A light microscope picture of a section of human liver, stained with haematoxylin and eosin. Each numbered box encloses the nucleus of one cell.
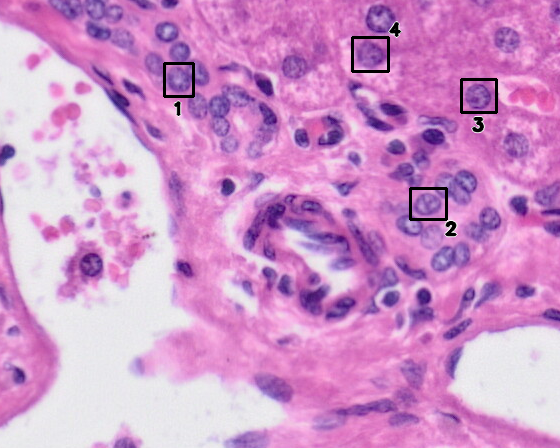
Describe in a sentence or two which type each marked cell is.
Cell 1 is a cholangiocyte, cell 2 is a cholangiocyte, cell 3 is a hepatocyte and cell 4 is a hepatocyte.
